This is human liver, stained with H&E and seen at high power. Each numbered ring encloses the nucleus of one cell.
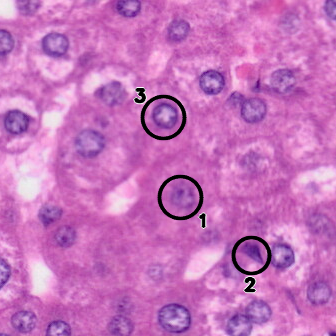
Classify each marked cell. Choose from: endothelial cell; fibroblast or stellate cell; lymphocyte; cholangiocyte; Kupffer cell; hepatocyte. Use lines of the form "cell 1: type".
cell 1: hepatocyte
cell 2: fibroblast or stellate cell
cell 3: hepatocyte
